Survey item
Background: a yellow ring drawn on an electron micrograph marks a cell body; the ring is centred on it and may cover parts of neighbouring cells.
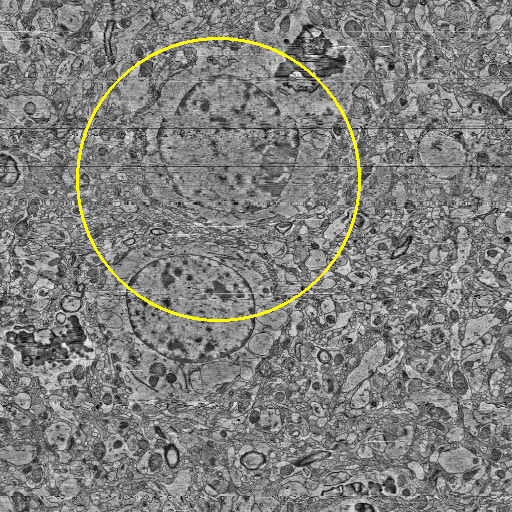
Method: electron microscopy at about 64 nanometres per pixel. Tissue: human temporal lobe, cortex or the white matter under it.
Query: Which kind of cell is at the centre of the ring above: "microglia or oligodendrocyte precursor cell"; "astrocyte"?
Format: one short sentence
The cell in the middle of the ring is an astrocyte.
